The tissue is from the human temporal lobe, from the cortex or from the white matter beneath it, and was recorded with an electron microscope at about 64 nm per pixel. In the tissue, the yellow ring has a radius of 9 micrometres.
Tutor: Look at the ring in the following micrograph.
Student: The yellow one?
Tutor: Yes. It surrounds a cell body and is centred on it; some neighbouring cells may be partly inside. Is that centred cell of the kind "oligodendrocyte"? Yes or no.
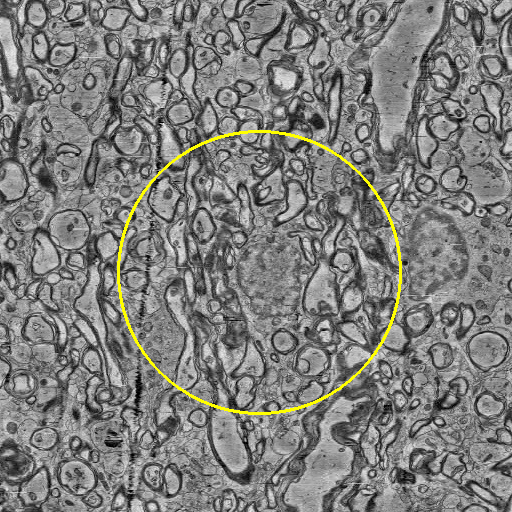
yes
